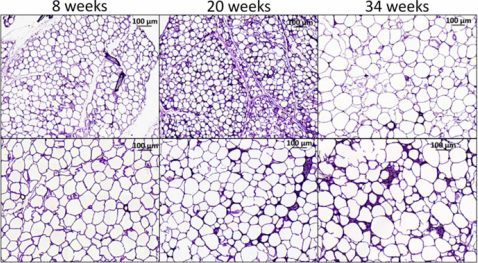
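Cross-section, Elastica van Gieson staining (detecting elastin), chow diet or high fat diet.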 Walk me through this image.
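Sections of white adipose tissue show a honeycomb of adipocytes, each a clear, empty-looking rounded or polygonal space outlined by a thin purple rim. In several micrographs the cells are small and densely packed, in others they are markedly larger with thin, stretched walls. Darker purple strands and septa run between lobules, and in some fields small clusters of densely stained material lie between adipocytes.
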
